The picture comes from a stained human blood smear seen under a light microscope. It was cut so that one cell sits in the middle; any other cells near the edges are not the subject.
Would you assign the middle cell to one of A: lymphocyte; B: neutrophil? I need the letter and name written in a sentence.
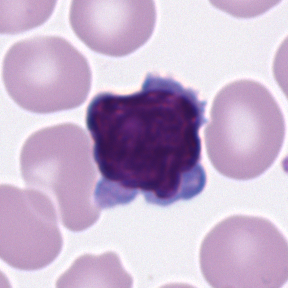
Option A is correct; the cell in the middle is a lymphocyte.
